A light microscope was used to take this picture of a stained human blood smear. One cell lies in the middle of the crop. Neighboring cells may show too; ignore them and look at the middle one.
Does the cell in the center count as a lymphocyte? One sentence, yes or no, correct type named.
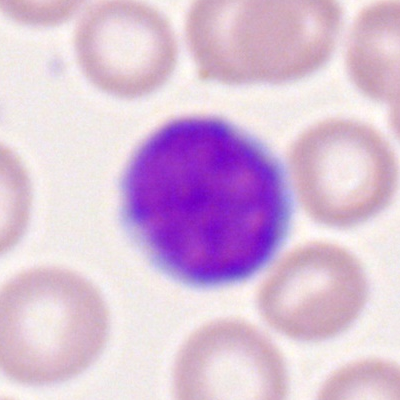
Yes, the central cell of this crop corresponds to a lymphocyte.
